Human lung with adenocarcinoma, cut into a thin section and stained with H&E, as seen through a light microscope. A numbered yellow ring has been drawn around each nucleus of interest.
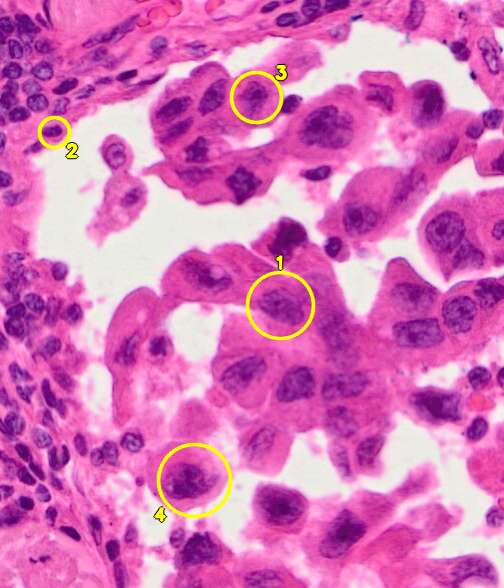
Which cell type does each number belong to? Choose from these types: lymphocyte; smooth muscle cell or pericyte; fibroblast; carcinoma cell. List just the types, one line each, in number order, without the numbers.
carcinoma cell
lymphocyte
carcinoma cell
carcinoma cell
